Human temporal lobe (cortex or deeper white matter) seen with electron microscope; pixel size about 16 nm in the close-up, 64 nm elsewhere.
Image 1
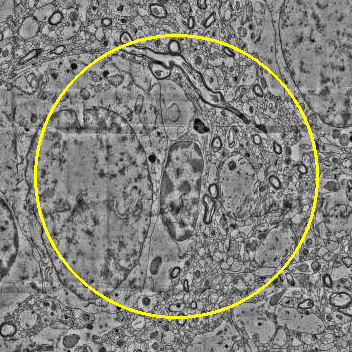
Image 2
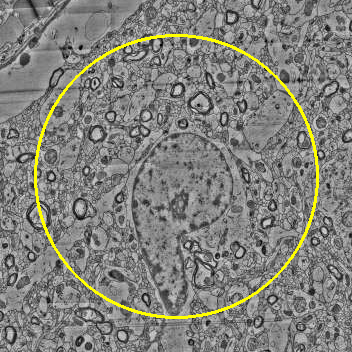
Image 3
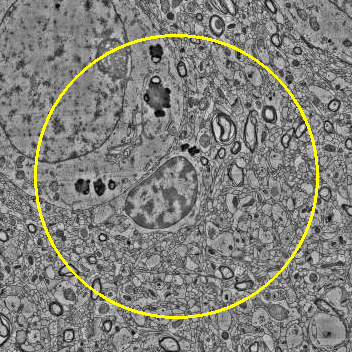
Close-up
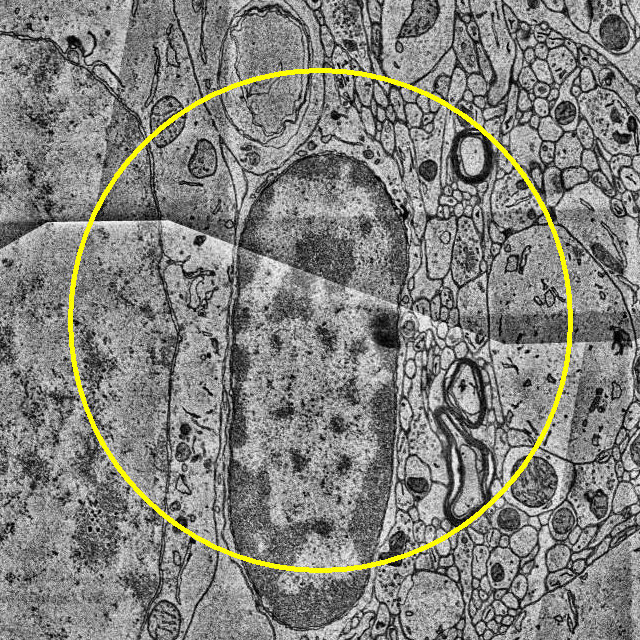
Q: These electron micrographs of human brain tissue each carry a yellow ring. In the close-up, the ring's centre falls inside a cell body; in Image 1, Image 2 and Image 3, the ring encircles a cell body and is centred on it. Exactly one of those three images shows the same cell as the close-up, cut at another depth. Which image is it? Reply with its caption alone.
Image 1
